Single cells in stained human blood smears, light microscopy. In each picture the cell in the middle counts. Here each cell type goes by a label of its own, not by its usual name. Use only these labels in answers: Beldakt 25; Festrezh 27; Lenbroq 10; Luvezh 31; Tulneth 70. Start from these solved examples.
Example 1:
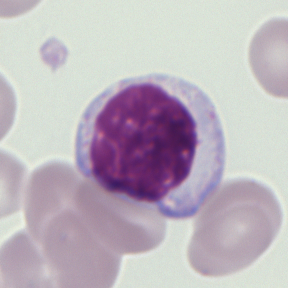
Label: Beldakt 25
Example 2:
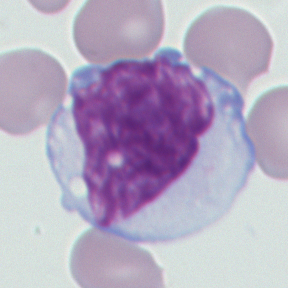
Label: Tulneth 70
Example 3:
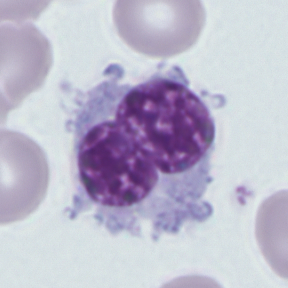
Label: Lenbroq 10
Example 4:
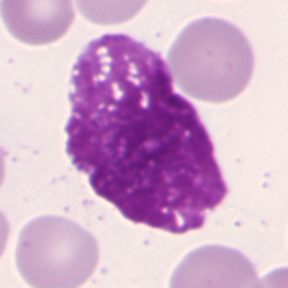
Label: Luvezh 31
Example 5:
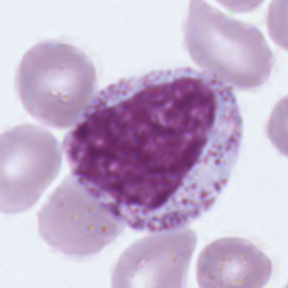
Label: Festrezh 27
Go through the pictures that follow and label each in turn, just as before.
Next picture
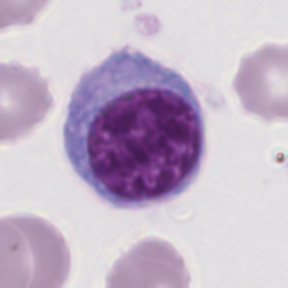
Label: Lenbroq 10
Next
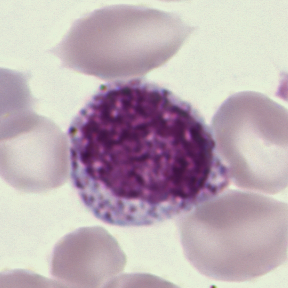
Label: Festrezh 27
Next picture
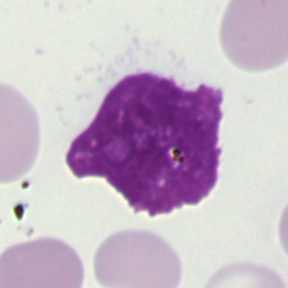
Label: Luvezh 31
